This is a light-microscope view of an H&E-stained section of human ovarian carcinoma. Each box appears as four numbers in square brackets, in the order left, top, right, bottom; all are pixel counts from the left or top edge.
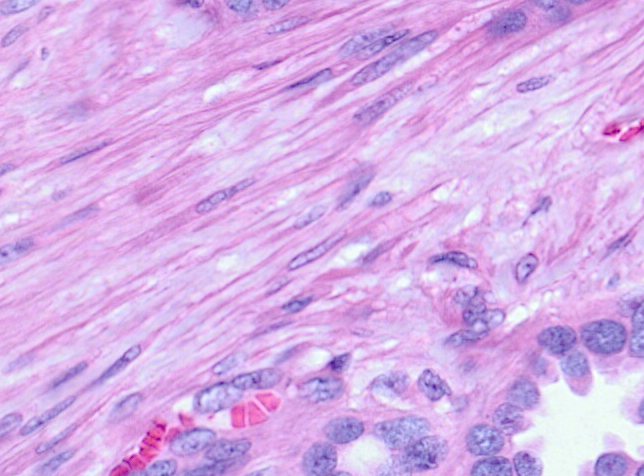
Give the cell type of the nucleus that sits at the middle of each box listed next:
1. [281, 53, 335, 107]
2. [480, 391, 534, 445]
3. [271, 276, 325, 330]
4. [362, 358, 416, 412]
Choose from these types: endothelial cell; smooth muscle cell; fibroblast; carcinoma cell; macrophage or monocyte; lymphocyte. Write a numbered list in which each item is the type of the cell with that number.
1. fibroblast
2. carcinoma cell
3. fibroblast
4. fibroblast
